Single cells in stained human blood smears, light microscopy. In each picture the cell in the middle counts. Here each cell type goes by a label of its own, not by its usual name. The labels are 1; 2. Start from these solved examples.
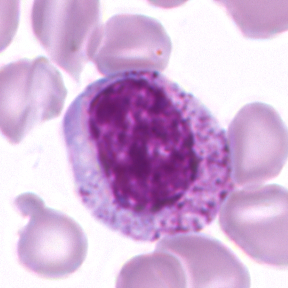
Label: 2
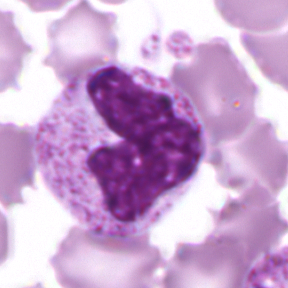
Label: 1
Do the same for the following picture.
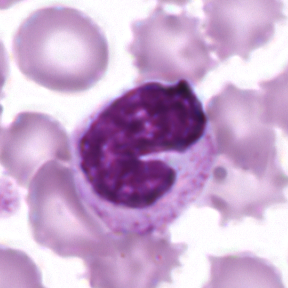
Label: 1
